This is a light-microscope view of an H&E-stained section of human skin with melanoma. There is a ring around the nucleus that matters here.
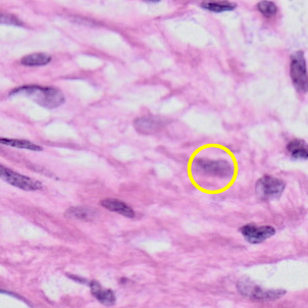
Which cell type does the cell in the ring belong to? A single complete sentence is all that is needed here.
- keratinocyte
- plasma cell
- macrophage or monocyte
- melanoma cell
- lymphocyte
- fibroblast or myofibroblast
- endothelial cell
The category to which the cell in the ring belongs is that of a fibroblast or myofibroblast.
